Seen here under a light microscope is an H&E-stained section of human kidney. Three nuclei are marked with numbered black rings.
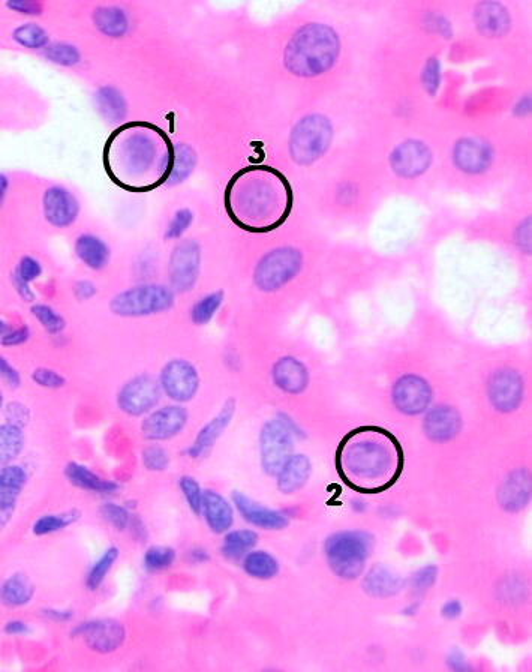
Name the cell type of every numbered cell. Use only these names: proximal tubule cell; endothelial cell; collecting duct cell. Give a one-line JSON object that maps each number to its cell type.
{"1": "collecting duct cell", "2": "proximal tubule cell", "3": "proximal tubule cell"}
